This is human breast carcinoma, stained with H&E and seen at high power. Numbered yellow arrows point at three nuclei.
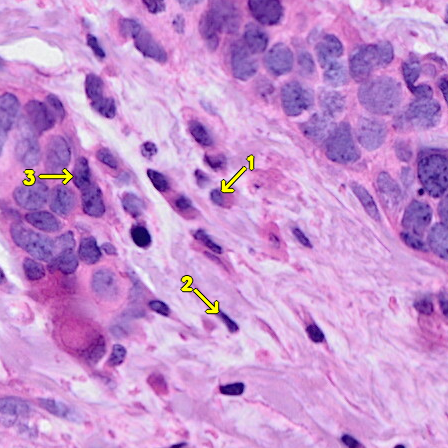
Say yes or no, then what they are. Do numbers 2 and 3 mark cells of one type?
No, unlike cell 2, which is a fibroblast, cell 3 is a carcinoma cell.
